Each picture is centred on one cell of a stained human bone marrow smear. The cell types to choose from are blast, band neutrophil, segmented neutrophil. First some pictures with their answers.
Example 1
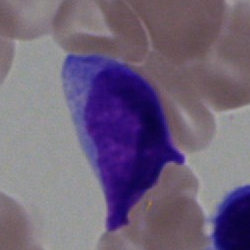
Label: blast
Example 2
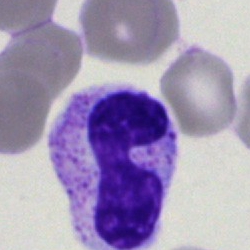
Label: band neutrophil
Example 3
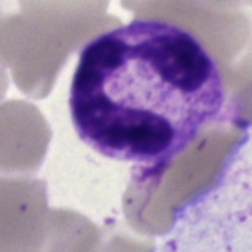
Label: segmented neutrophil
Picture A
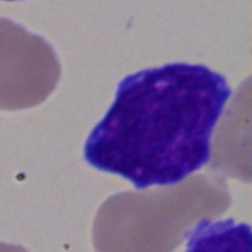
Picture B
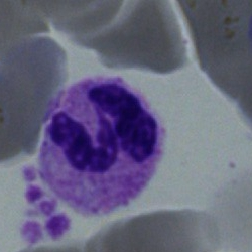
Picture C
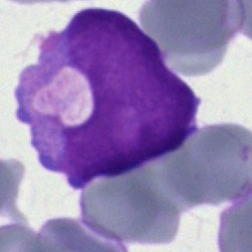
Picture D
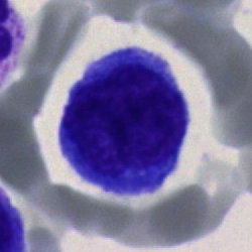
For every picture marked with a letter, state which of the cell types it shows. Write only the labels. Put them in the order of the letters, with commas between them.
blast, segmented neutrophil, blast, blast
